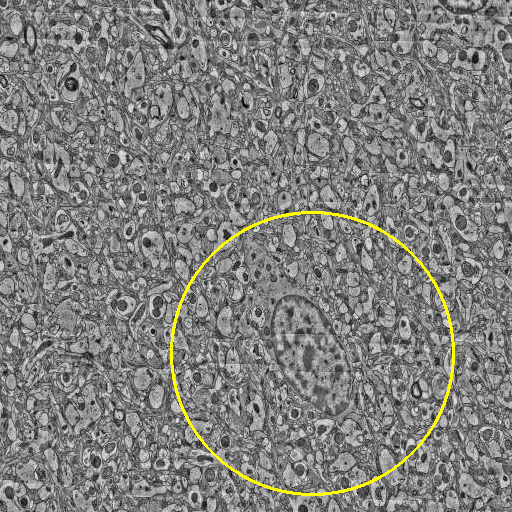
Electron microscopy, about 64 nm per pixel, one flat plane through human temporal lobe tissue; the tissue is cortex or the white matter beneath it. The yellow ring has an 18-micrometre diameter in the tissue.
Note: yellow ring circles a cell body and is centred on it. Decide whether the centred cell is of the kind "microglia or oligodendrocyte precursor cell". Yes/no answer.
No, the centred cell is of another kind.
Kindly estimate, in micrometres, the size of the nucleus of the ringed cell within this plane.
In this plane the nucleus is clearly longer than it is wide: roughly 8 by 4 micrometres.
